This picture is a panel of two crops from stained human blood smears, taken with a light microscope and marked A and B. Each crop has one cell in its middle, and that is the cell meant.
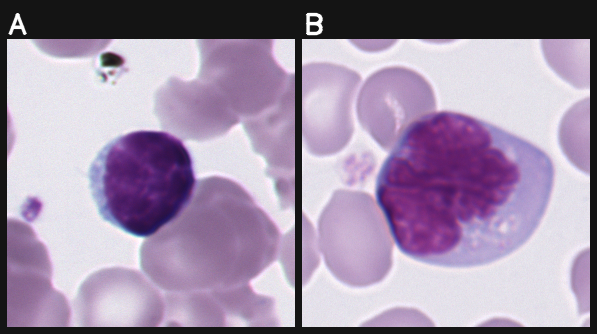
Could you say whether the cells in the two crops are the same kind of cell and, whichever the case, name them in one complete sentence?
Yes, typical lymphocytes are seen in both crops.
